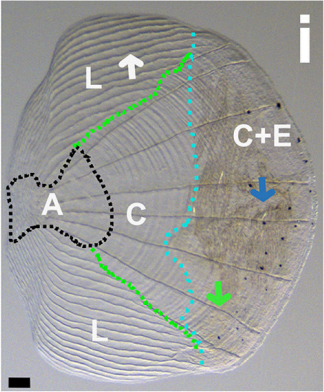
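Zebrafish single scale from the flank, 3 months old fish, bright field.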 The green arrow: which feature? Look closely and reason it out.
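Fine radial lines cross the scale there.
Grooves.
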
